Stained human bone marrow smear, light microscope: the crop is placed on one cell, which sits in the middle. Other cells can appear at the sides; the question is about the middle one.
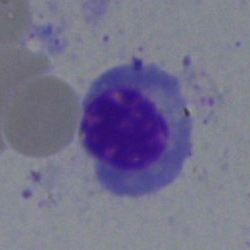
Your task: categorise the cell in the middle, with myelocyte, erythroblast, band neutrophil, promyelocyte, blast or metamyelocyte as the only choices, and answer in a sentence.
In the middle of this smear crop, the cell is an erythroblast.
